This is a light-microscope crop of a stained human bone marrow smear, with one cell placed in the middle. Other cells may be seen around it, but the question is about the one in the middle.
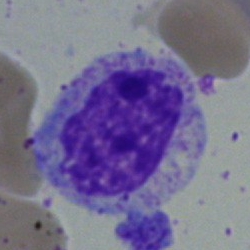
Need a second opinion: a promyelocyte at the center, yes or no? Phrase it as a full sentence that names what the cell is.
No, the one in the center is not a promyelocyte; it is a myelocyte.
